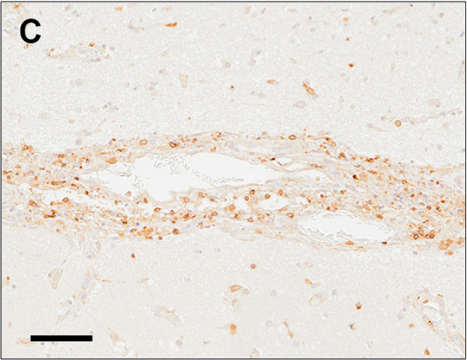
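The brown cells form a dense cuff around the vessels, with a few more scattered singly in the pale neural tissue above and below. The cells are small with scant cytoplasm, and the surrounding tissue is otherwise only faintly counterstained.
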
